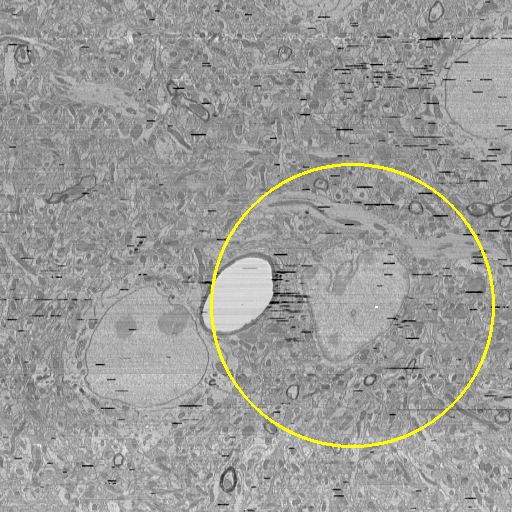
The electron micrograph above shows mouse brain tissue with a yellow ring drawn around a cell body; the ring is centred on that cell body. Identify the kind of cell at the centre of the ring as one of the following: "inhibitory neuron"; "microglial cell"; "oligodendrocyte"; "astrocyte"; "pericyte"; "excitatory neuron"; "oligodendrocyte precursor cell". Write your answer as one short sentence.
The cell at the centre of the ring is an astrocyte.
